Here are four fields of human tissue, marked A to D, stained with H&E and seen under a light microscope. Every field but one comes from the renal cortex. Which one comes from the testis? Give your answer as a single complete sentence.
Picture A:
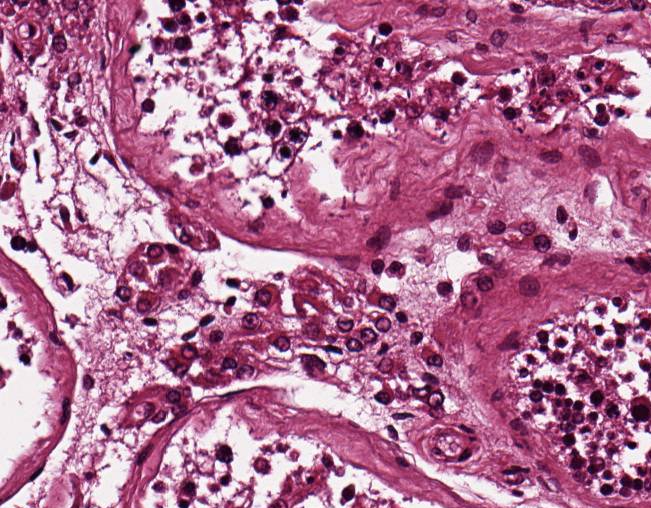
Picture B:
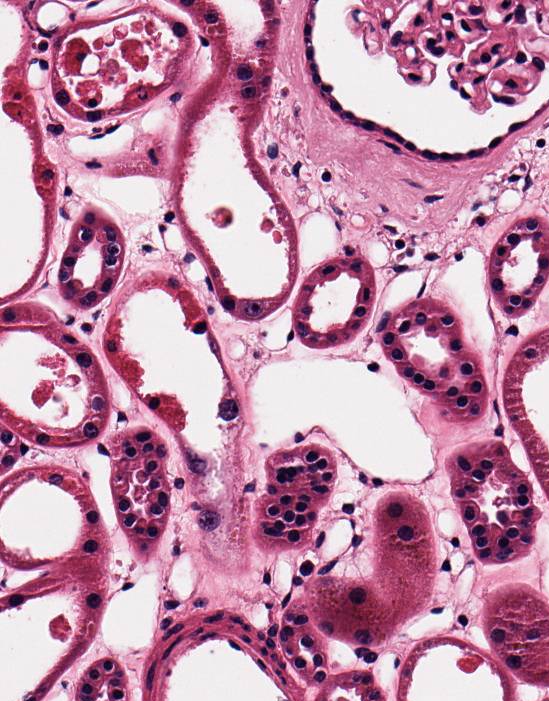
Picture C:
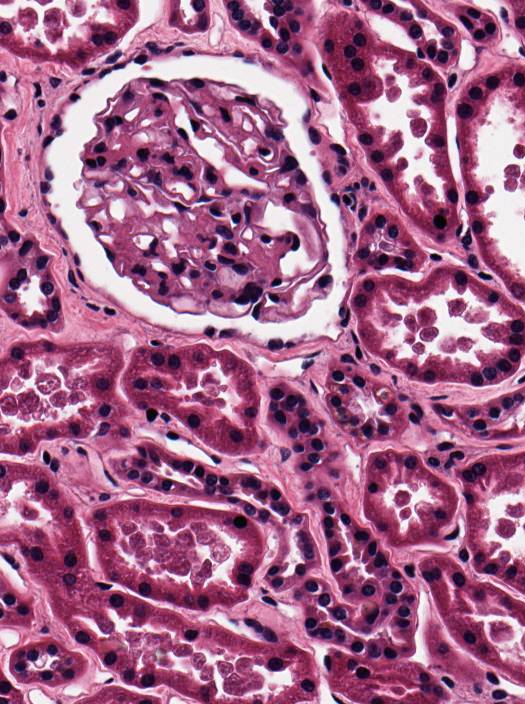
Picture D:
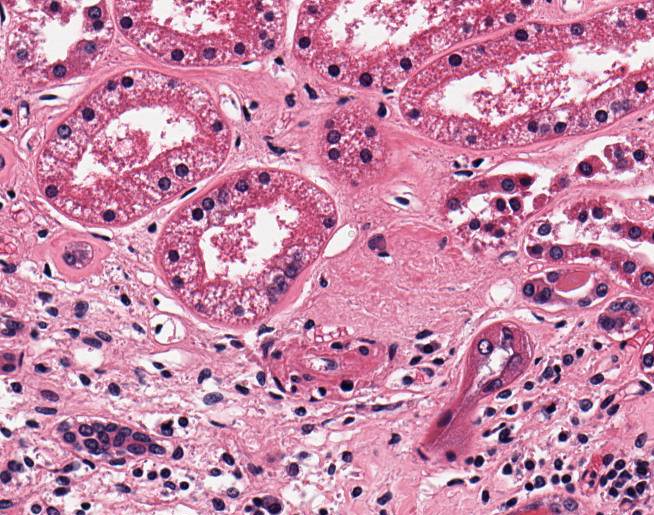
Picture A comes from the testis.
